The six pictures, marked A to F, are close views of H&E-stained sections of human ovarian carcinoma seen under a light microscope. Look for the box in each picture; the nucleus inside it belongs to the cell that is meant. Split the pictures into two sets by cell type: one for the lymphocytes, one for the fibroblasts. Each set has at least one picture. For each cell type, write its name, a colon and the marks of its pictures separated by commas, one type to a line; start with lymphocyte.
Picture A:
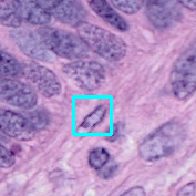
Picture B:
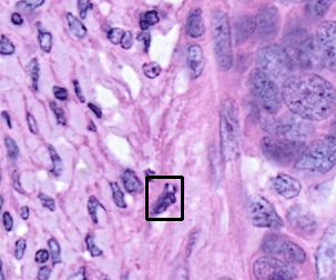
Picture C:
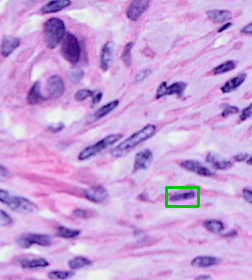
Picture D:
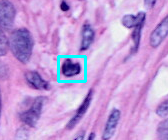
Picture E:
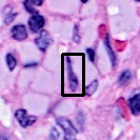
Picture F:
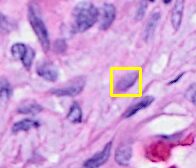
lymphocyte: B, D
fibroblast: A, C, E, F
